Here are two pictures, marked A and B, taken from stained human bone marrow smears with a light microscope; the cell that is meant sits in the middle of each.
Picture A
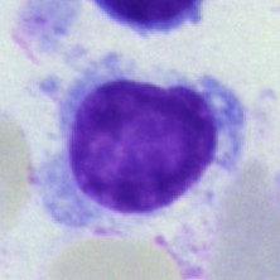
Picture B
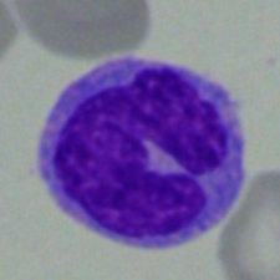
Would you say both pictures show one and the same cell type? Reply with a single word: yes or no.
no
